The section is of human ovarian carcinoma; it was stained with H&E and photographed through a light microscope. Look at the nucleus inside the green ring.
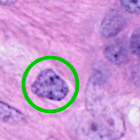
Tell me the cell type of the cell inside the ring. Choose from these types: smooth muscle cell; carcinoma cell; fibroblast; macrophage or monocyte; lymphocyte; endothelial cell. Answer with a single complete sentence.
It is a macrophage or monocyte that the cell inside the ring represents.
